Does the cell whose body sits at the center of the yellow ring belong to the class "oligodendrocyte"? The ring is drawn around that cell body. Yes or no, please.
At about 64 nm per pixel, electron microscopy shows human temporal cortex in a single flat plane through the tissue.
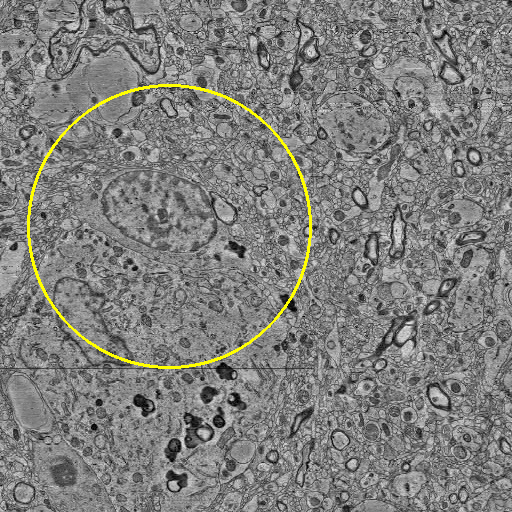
Yes, it belongs to that class.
